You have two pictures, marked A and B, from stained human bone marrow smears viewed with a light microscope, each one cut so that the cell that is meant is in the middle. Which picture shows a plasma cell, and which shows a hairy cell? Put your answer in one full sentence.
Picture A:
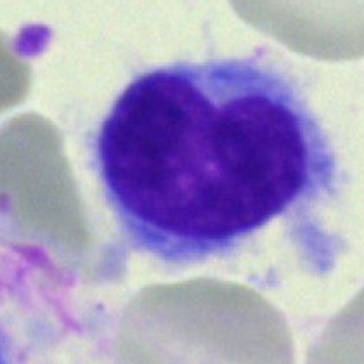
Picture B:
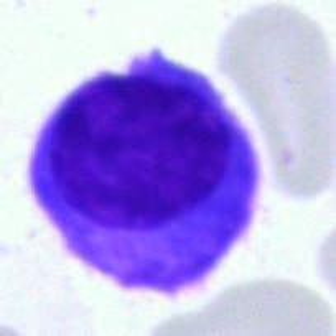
Picture A is of a hairy cell, and picture B is of a plasma cell.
